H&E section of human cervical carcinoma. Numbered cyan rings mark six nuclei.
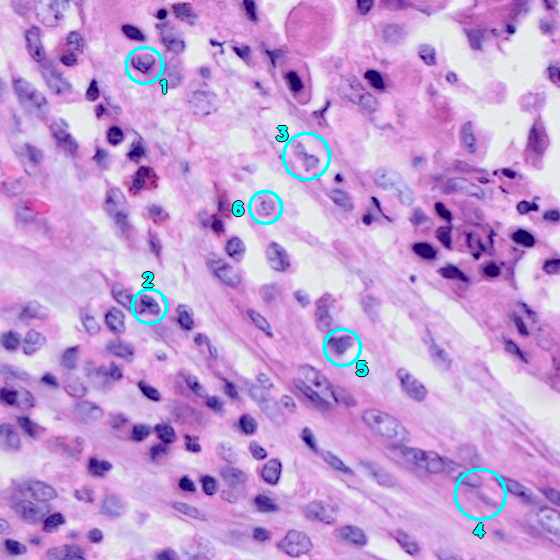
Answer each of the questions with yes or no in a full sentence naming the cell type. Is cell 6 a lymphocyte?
No, cell 6 is correctly identified as a fibroblast and not as a lymphocyte.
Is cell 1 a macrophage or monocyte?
Yes, the cell identified as number 1 is a macrophage or monocyte.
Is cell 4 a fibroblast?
No, for cell 4, the correct identification is an endothelial cell instead of a fibroblast.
